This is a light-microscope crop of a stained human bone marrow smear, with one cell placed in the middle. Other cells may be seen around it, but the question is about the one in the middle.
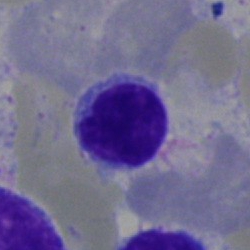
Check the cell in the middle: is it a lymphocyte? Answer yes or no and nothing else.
yes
